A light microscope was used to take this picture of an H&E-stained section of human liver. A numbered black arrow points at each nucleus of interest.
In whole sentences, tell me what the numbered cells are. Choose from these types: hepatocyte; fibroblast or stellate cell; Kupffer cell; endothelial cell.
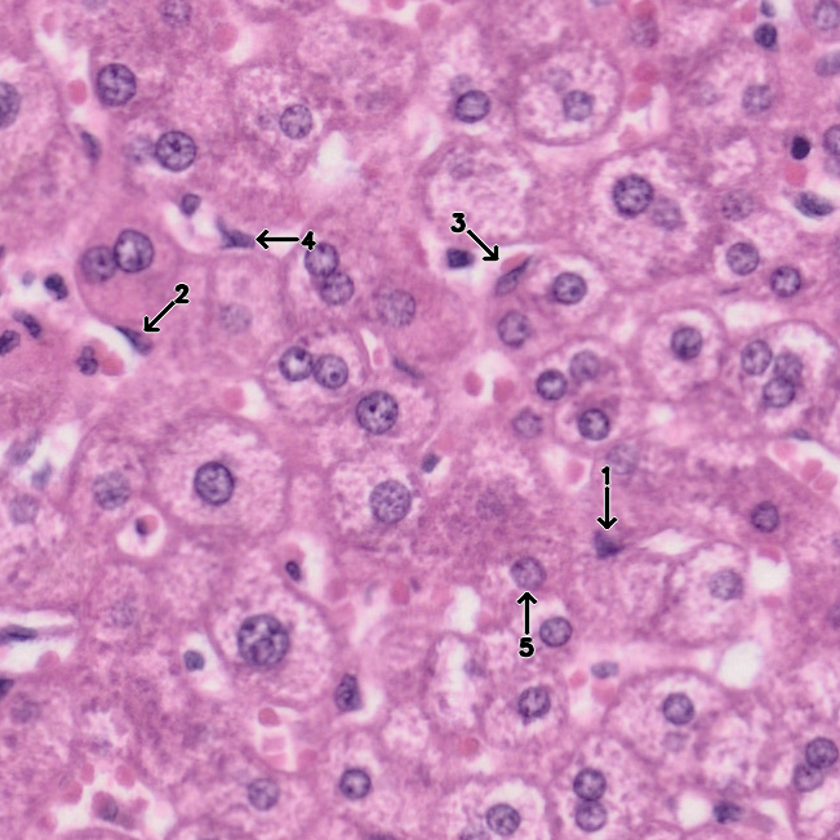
Cells 1 and 4 are fibroblasts or stellate cells. Cell 2 is an endothelial cell. Cell 3 is a Kupffer cell. Cell 5 is a hepatocyte.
